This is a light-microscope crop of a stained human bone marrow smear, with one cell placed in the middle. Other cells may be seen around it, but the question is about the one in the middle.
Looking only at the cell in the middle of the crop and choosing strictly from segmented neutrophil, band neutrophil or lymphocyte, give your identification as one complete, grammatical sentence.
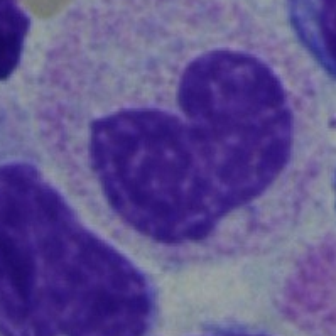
The cell centered in this field of view is a band neutrophil.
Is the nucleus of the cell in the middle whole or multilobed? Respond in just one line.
One compact mass makes up the whole nucleus, round, oval or kidney-shaped.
